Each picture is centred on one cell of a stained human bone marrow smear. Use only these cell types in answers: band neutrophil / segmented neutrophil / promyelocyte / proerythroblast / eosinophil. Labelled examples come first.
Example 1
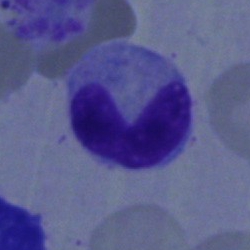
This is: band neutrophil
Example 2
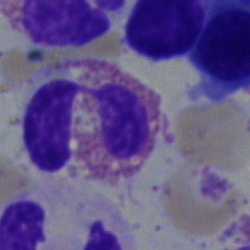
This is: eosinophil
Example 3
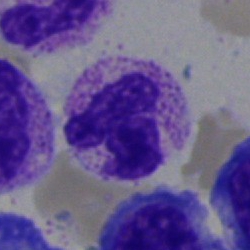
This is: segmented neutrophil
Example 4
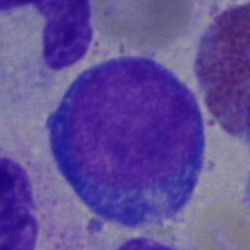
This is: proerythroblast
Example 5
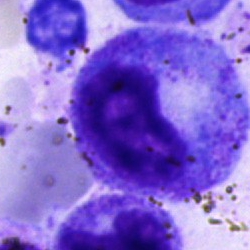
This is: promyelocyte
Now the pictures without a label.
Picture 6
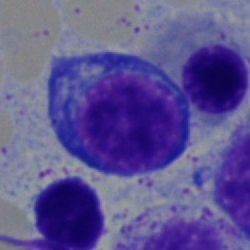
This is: proerythroblast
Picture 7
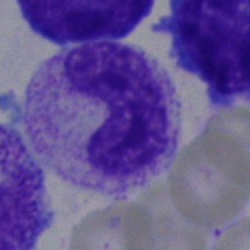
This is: band neutrophil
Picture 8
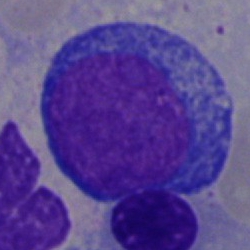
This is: proerythroblast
